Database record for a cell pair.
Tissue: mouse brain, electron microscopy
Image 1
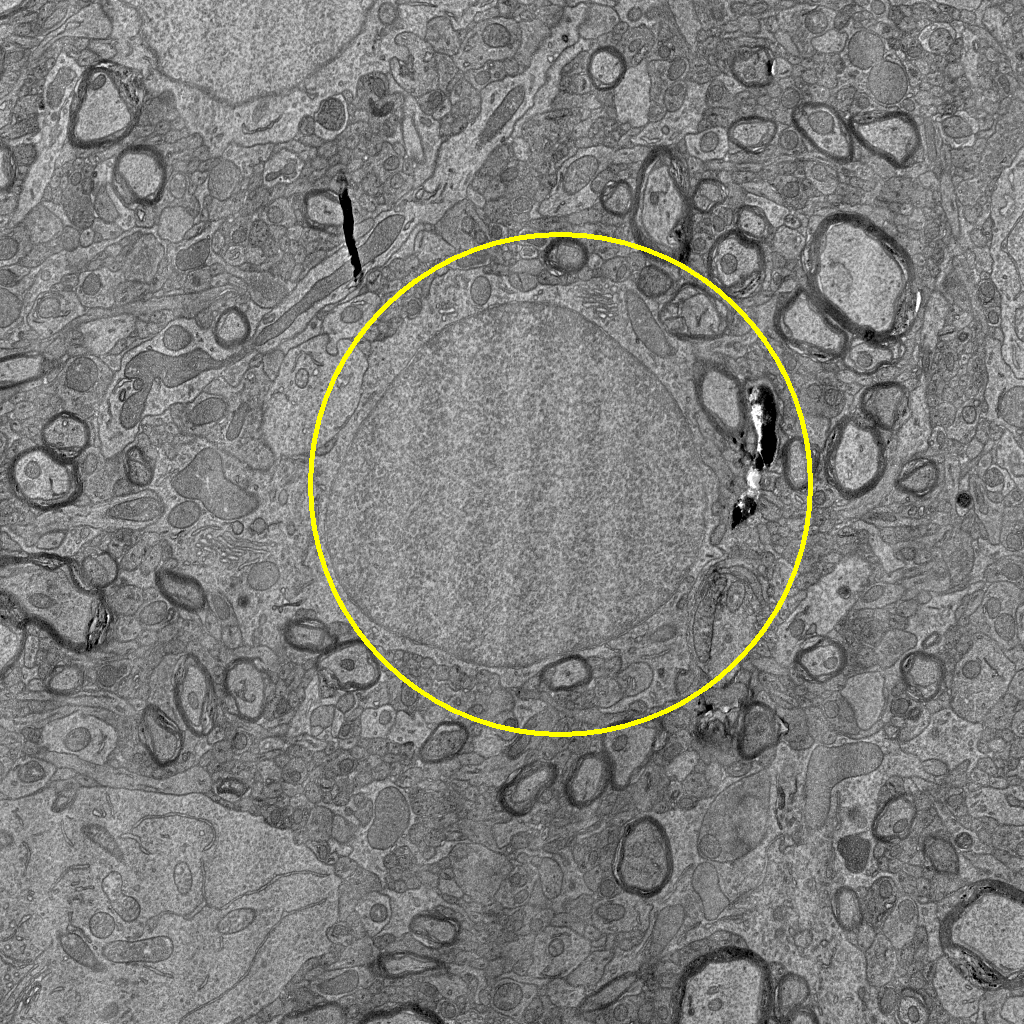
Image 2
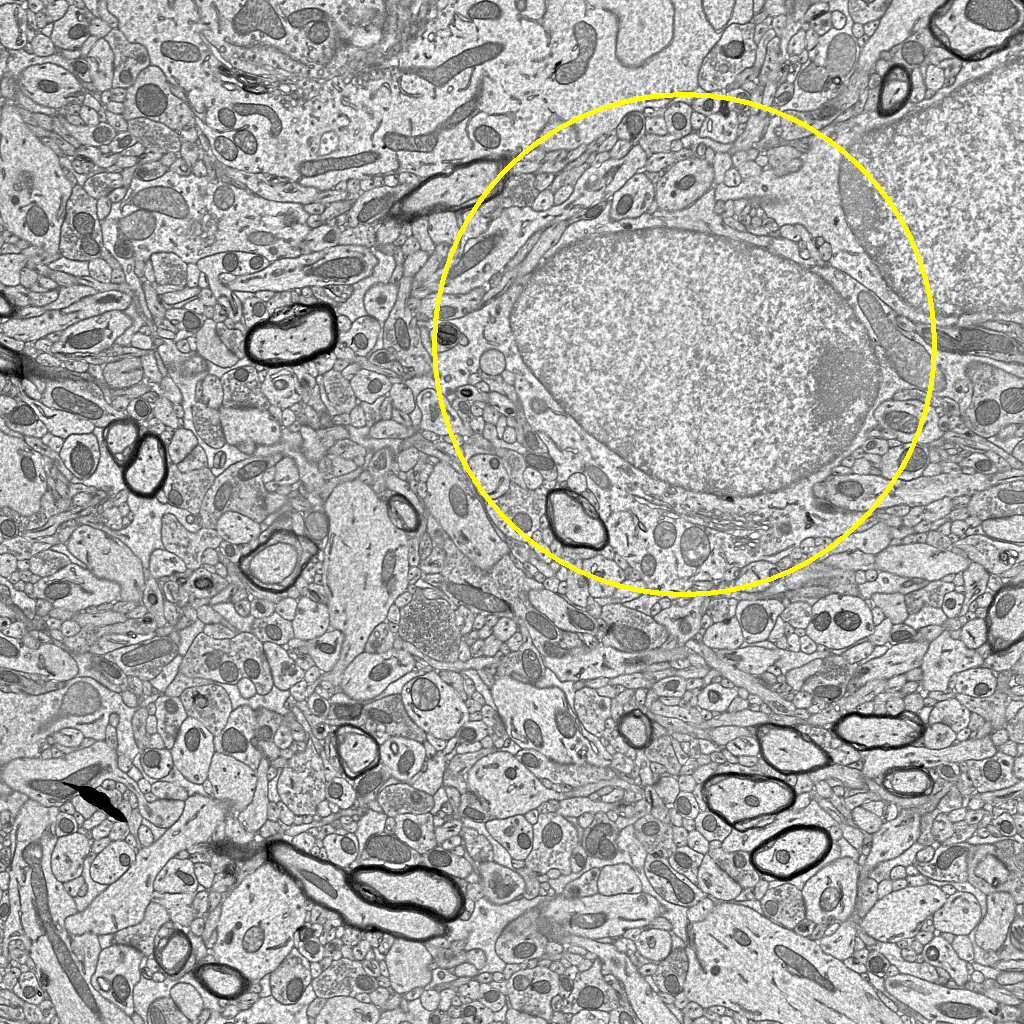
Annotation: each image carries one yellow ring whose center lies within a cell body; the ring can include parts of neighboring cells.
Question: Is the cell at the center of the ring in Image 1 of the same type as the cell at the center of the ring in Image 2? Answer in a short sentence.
Yes, the cells are of the same type.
